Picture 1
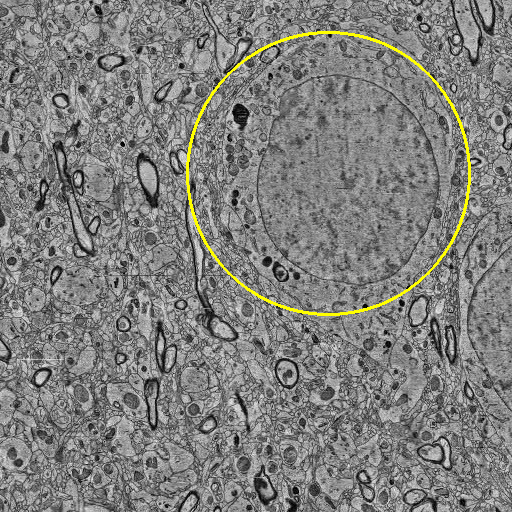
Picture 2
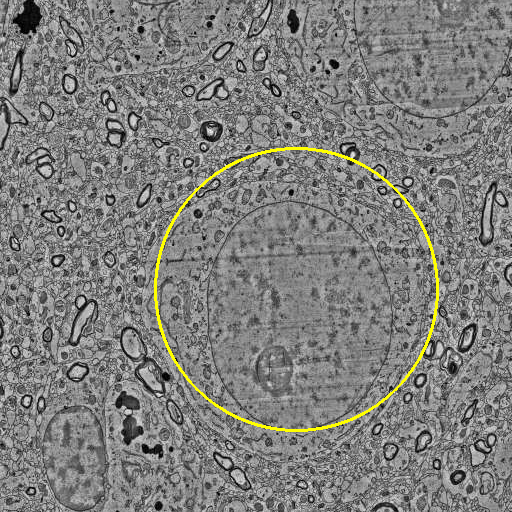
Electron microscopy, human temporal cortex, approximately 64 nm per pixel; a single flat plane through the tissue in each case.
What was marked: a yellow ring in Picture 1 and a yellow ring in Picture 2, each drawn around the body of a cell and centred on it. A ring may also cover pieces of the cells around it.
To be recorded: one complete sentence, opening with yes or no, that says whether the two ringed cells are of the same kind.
Yes, the two ringed cells are of the same kind.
